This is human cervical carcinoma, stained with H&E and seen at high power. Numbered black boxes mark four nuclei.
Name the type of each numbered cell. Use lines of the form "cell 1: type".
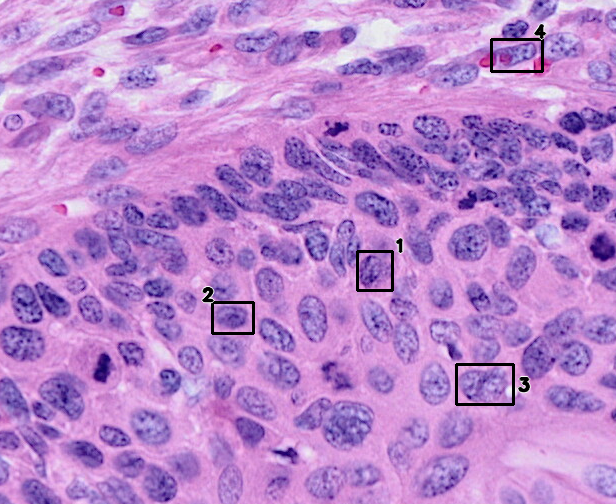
cell 1: squamous carcinoma cell
cell 2: squamous carcinoma cell
cell 3: squamous carcinoma cell
cell 4: endothelial cell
